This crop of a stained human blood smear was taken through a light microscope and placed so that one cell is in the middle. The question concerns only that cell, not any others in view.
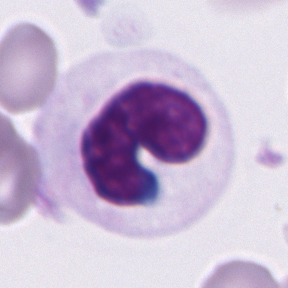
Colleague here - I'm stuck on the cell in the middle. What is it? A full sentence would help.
The cell shown in the center of this light-microscope crop is a band neutrophil.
